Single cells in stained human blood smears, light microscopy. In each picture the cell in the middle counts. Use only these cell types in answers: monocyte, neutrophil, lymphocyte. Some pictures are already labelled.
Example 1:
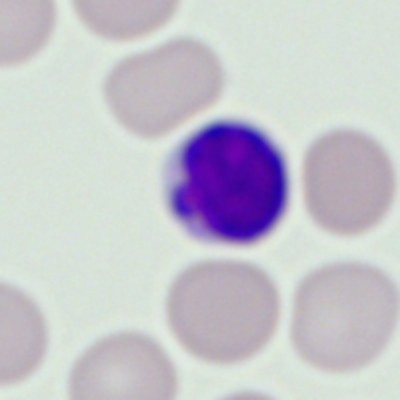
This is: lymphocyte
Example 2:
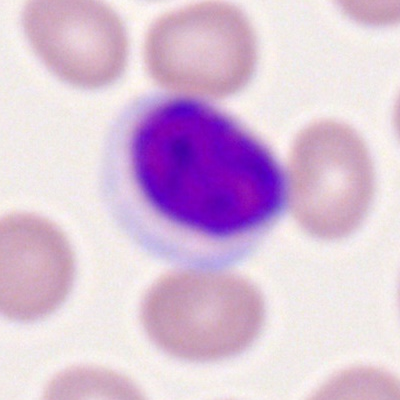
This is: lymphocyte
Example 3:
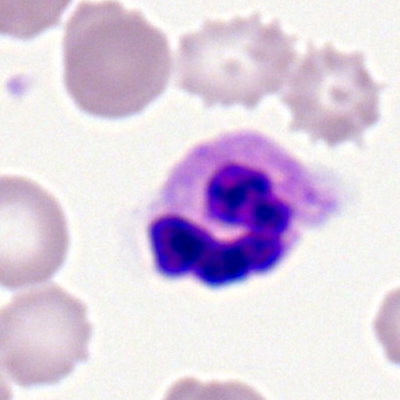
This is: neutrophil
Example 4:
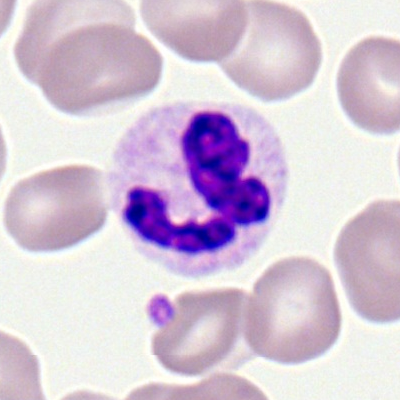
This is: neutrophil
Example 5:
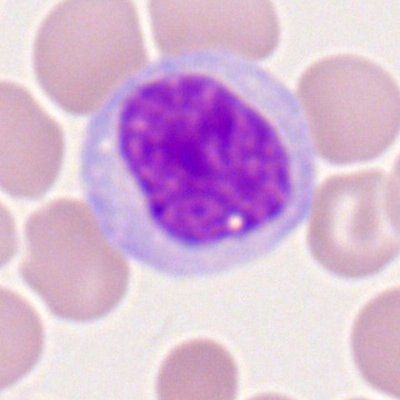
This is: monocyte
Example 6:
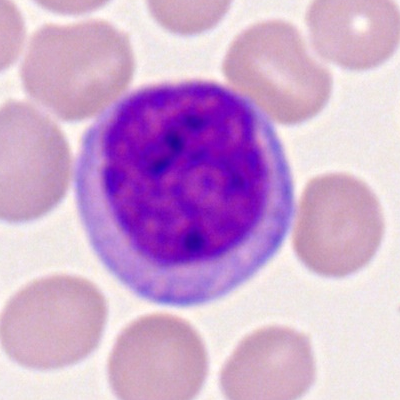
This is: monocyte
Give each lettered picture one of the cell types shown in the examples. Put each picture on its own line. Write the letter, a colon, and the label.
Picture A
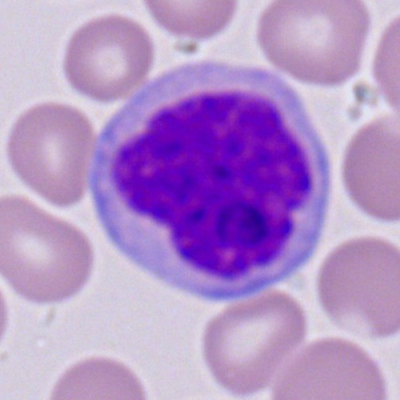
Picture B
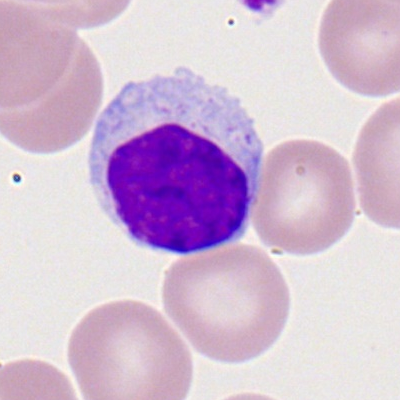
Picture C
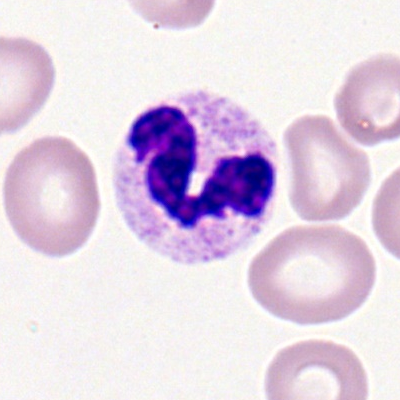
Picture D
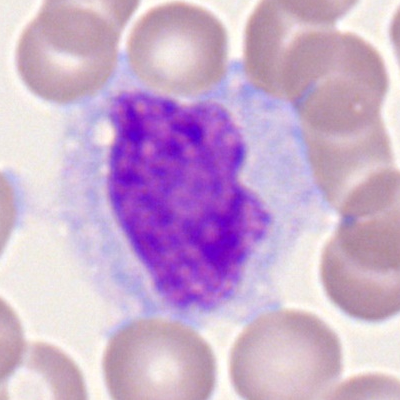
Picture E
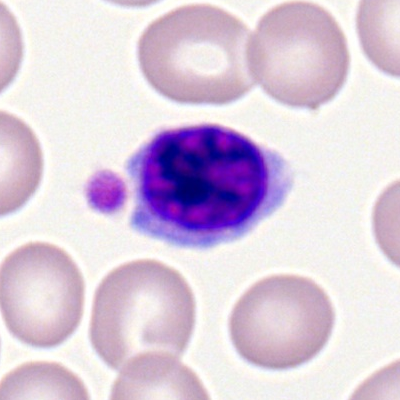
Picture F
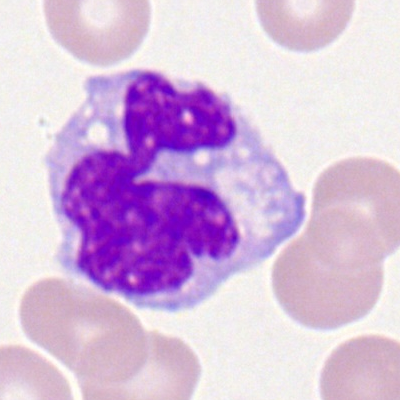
A: monocyte
B: lymphocyte
C: neutrophil
D: monocyte
E: lymphocyte
F: monocyte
